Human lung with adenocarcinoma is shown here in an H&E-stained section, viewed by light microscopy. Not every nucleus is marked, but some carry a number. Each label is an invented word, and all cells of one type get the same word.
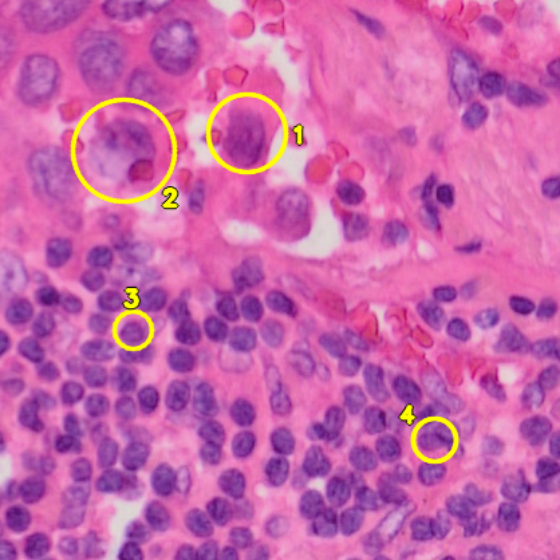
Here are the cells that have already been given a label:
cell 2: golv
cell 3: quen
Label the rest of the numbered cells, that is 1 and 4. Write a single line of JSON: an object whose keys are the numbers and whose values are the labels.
{"1": "golv", "4": "quen"}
